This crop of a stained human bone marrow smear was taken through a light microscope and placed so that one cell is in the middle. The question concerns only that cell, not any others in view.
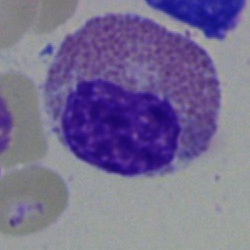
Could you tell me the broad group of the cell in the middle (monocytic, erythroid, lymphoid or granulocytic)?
granulocytic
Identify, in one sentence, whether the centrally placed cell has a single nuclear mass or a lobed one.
See how the nucleus sits as one compact round, oval or kidney-shaped mass.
